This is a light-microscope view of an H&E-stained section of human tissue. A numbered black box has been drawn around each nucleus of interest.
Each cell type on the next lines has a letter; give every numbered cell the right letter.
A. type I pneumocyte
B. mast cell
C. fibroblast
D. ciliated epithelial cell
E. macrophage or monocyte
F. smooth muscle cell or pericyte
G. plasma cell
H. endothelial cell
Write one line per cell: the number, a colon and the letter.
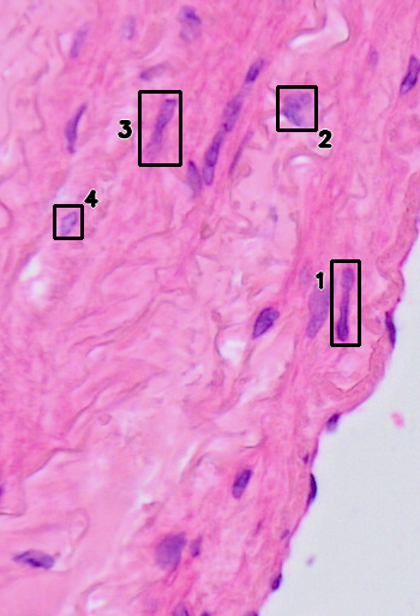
1: F
2: C
3: F
4: F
